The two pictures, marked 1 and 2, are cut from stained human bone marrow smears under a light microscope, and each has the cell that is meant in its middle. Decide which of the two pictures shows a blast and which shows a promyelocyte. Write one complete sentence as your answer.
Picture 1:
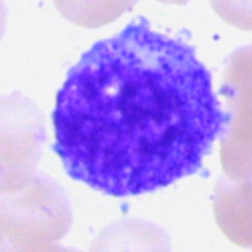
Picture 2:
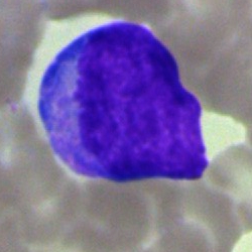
It is picture 1 that shows a promyelocyte, and picture 2 that shows a blast.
